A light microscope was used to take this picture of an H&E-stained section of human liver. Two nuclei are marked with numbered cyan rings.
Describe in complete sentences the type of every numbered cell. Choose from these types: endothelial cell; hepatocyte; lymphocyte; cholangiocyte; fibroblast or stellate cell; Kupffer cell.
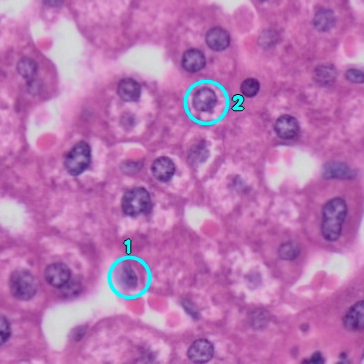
Cell 1 is an endothelial cell. Cell 2 is a hepatocyte.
